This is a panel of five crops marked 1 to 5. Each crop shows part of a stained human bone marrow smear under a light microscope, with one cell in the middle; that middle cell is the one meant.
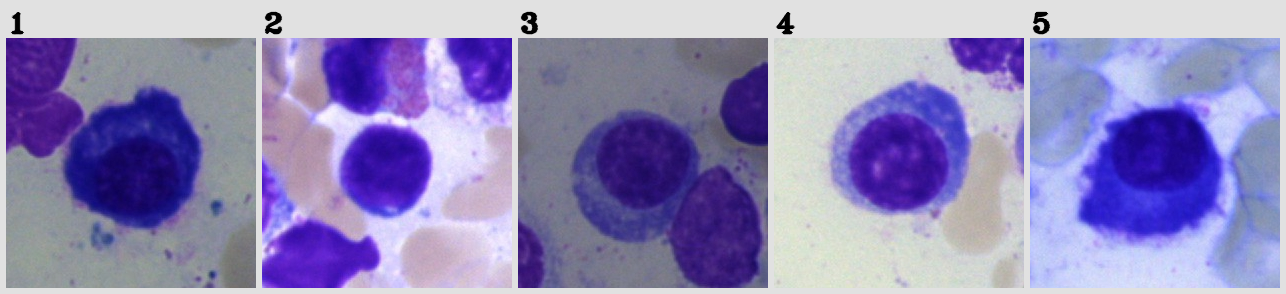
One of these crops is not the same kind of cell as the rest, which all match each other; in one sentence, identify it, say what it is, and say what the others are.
The different crop is 2; it is a lymphocyte, and the others all show plasma cells.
